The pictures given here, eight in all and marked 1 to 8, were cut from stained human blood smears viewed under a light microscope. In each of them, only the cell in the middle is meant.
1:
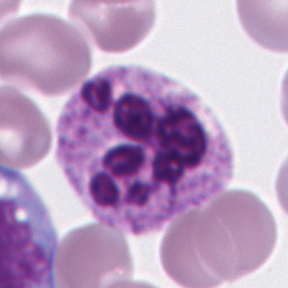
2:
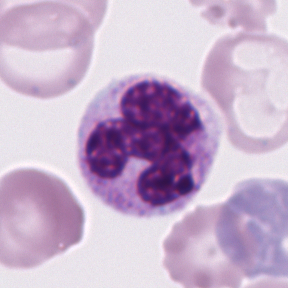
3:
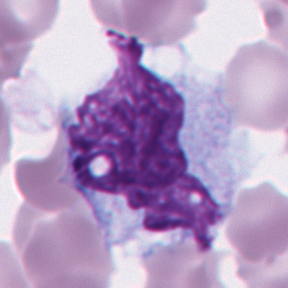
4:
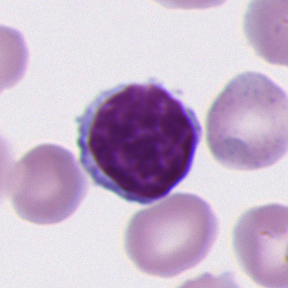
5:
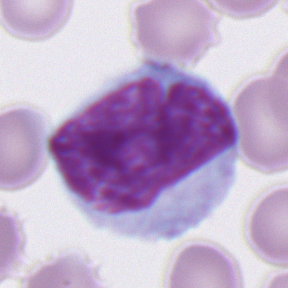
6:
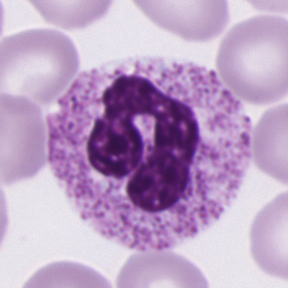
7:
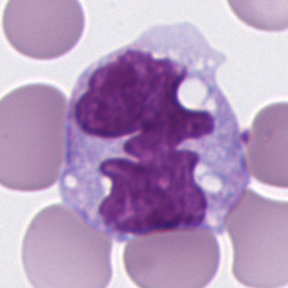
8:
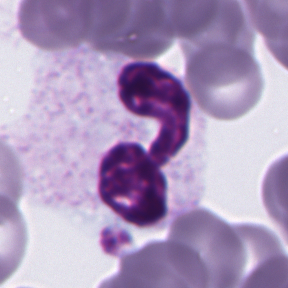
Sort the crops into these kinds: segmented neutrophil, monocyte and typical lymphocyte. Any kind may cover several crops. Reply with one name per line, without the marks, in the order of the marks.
segmented neutrophil
segmented neutrophil
monocyte
typical lymphocyte
monocyte
segmented neutrophil
monocyte
segmented neutrophil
